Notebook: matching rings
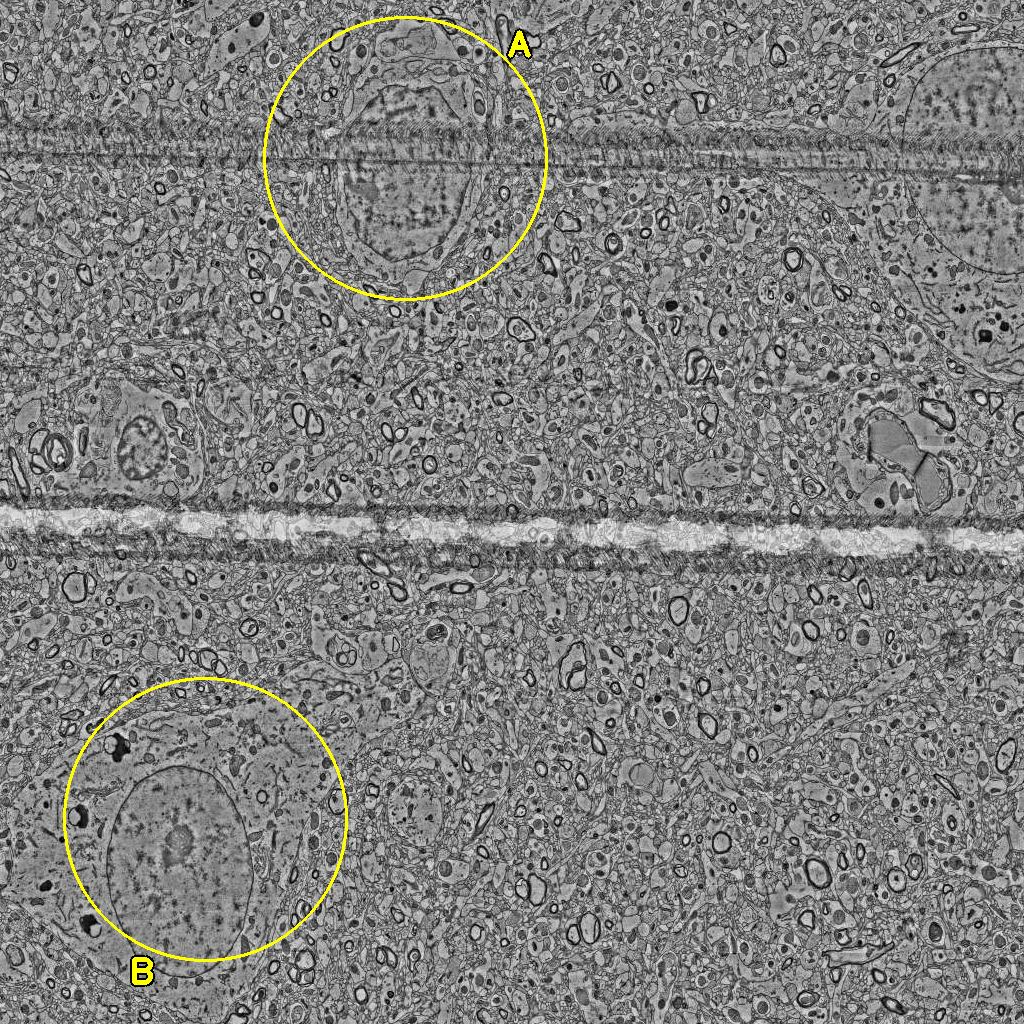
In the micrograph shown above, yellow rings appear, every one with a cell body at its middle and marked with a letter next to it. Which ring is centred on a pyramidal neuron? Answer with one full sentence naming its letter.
A cell of that kind lies at the centre of the ring lettered B.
